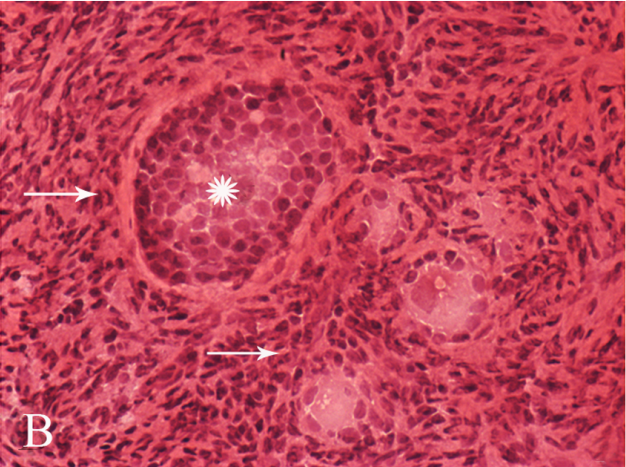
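Ovarian cortex with follicles embedded in compact stroma of spindle-shaped cells. One large follicle is filled with many layers of rounded cells with dark nuclei and is bounded by a thin rim of flattened cells. Smaller round follicles with pale centres lie close beside it. The stroma around them is dense and swirling.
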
